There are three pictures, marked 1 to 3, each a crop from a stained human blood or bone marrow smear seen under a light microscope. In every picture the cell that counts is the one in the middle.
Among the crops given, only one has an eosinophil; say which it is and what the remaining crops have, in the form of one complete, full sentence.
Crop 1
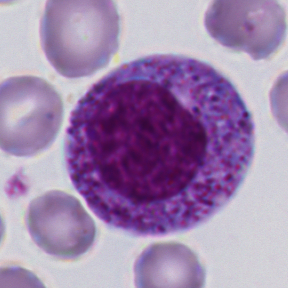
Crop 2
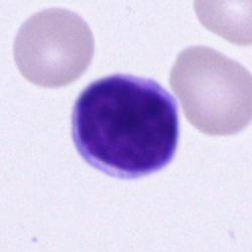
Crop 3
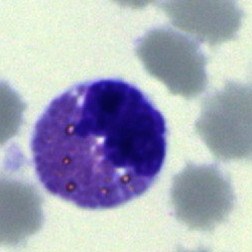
Seen in crop 3 is an eosinophil, while crop 1 is a promyelocyte and crop 2 is a lymphocyte.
